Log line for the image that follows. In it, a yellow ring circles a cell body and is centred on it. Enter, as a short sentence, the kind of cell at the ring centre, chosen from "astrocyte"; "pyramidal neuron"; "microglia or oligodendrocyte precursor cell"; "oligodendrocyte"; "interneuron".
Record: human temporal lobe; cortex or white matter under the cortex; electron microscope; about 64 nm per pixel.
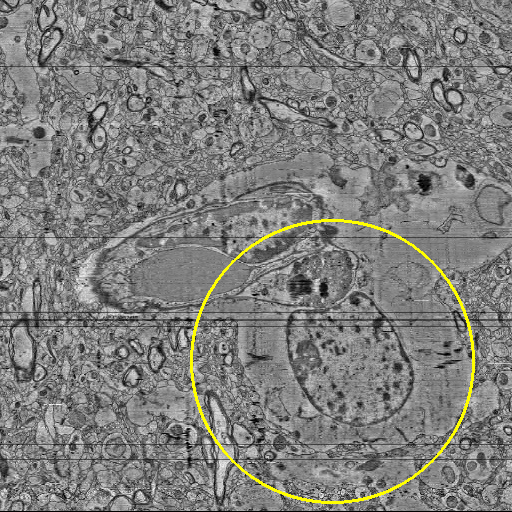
The ring centre is occupied by an astrocyte.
